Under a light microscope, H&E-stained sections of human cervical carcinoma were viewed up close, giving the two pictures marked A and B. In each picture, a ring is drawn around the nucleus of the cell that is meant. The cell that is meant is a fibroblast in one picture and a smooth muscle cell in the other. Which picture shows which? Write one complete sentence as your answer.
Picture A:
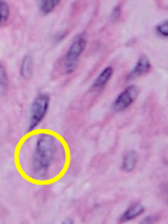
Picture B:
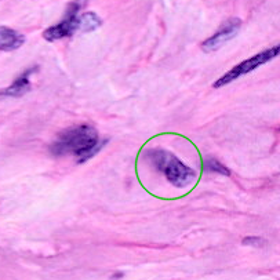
It is picture A that shows a smooth muscle cell, and picture B that shows a fibroblast.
